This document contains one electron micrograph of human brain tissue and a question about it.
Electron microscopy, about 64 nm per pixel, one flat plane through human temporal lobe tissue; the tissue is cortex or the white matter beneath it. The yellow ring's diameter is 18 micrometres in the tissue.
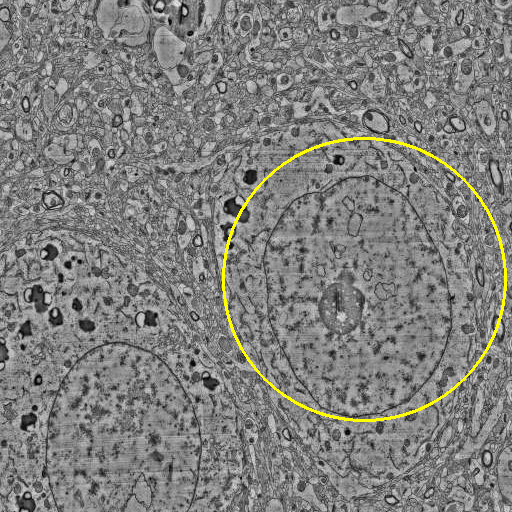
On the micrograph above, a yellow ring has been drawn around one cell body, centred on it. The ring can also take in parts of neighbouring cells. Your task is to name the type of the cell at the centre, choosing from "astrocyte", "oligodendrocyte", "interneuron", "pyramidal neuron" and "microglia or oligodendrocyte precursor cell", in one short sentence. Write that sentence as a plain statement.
Here the ring is centred on a pyramidal neuron.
